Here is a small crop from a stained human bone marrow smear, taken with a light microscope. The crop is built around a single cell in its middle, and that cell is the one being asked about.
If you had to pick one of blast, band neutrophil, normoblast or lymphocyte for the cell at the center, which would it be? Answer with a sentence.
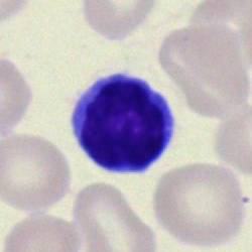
The cell featured at the centre of this crop is a lymphocyte.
